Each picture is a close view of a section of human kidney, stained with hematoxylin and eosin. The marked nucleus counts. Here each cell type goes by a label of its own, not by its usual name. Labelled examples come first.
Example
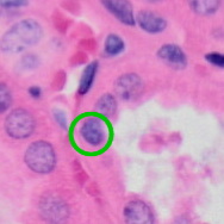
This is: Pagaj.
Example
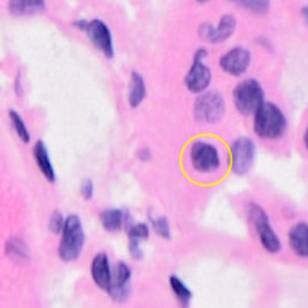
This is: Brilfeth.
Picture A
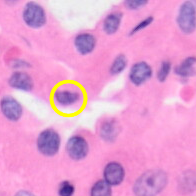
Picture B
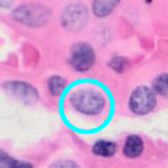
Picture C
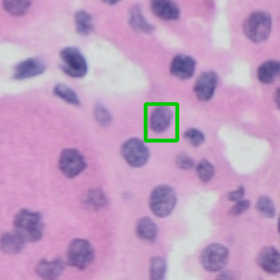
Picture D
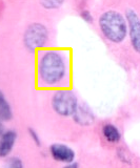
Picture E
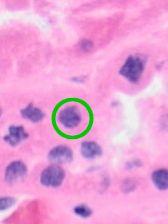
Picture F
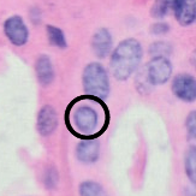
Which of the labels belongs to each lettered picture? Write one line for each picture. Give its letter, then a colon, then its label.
A: Pagaj.
B: Brilfeth.
C: Brilfeth.
D: Pagaj.
E: Pagaj.
F: Brilfeth.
